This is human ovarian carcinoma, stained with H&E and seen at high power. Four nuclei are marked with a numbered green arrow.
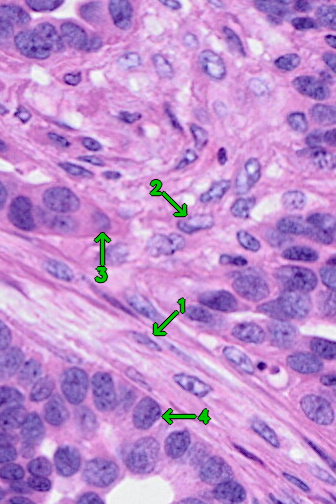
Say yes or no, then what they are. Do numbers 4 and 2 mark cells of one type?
No, cell 4 is a carcinoma cell and cell 2 is a fibroblast.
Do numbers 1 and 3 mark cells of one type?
Yes, both are fibroblasts.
